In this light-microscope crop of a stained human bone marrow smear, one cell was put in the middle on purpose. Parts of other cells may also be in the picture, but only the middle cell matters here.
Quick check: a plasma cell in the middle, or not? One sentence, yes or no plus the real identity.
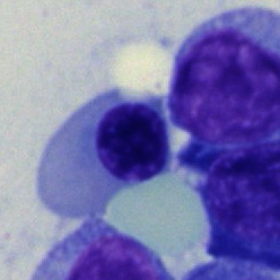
No, the cell in the middle is an erythroblast; it is not a plasma cell.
